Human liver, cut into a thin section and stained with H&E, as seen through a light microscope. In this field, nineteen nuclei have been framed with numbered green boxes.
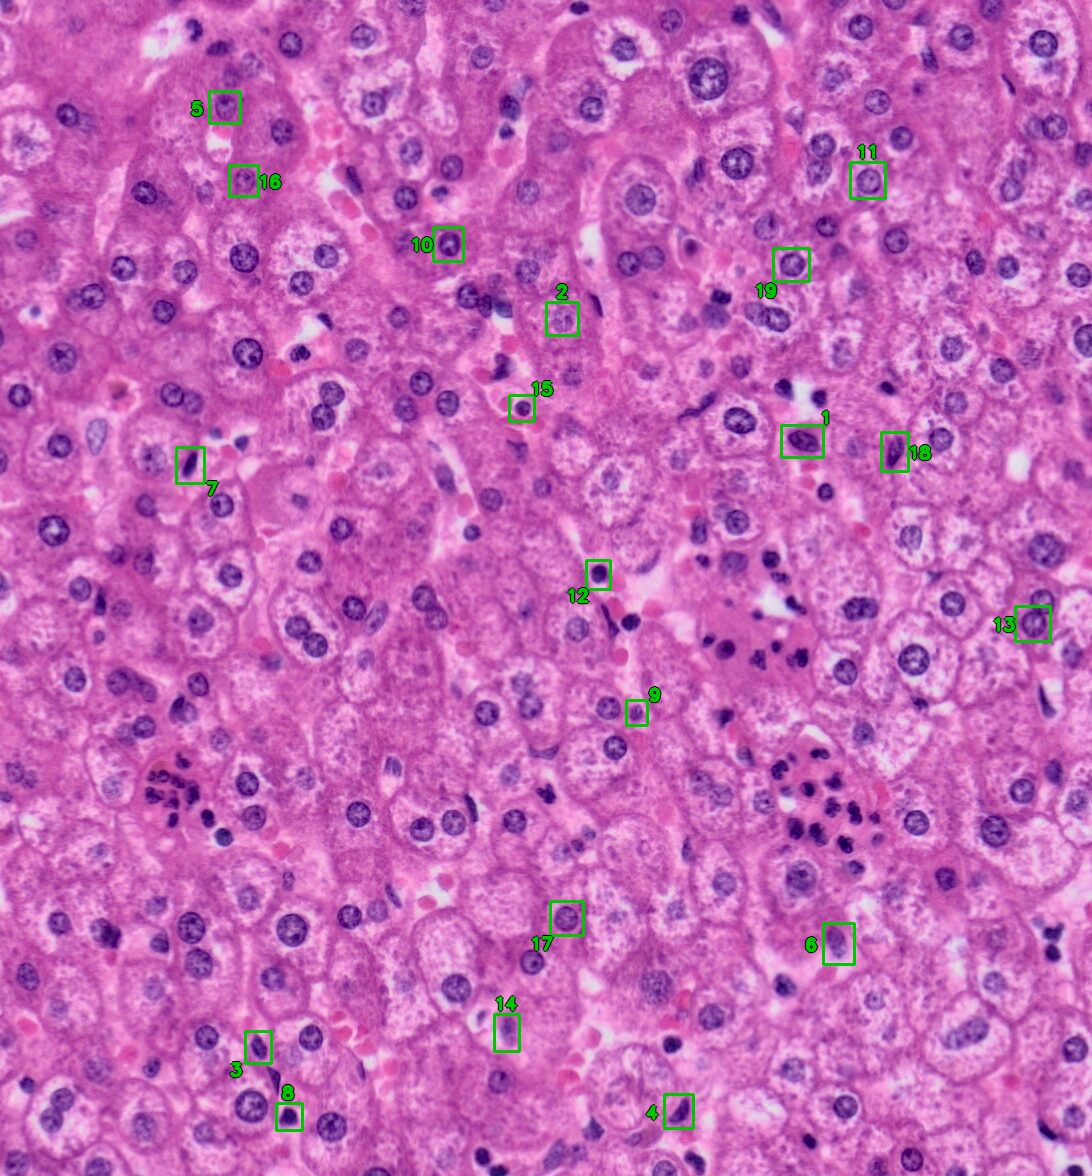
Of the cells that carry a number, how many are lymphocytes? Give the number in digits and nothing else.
5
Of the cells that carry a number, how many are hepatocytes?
8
